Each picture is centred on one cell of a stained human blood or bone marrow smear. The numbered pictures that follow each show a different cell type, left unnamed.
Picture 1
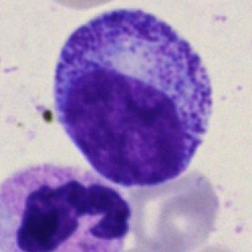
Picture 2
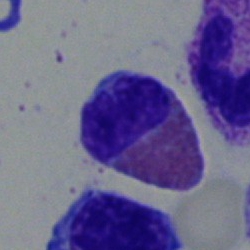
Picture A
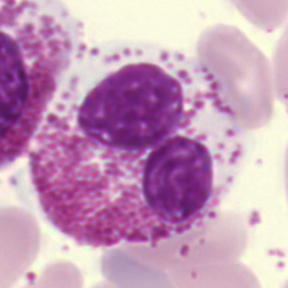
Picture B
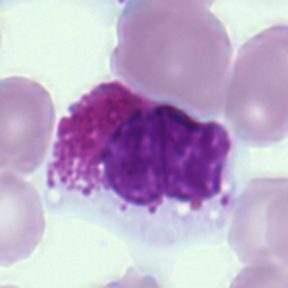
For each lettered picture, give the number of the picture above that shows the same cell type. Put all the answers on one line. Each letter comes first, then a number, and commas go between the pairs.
A 2, B 2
